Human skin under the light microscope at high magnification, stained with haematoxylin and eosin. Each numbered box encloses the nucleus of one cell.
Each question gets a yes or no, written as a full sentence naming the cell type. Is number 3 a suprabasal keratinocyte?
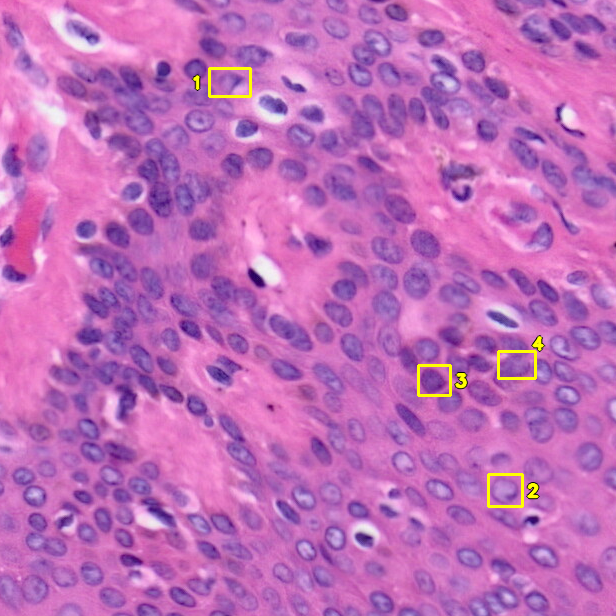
No, cell 3 should be classed as a basal keratinocyte, not as a suprabasal keratinocyte.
